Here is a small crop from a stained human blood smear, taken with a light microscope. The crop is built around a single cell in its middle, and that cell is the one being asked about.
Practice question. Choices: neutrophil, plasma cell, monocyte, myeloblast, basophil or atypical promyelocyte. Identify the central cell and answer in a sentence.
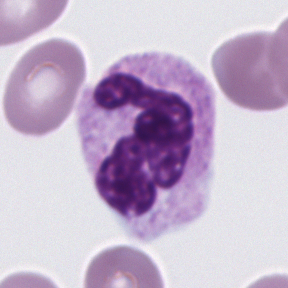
The cell of interest, in the center, is a neutrophil.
